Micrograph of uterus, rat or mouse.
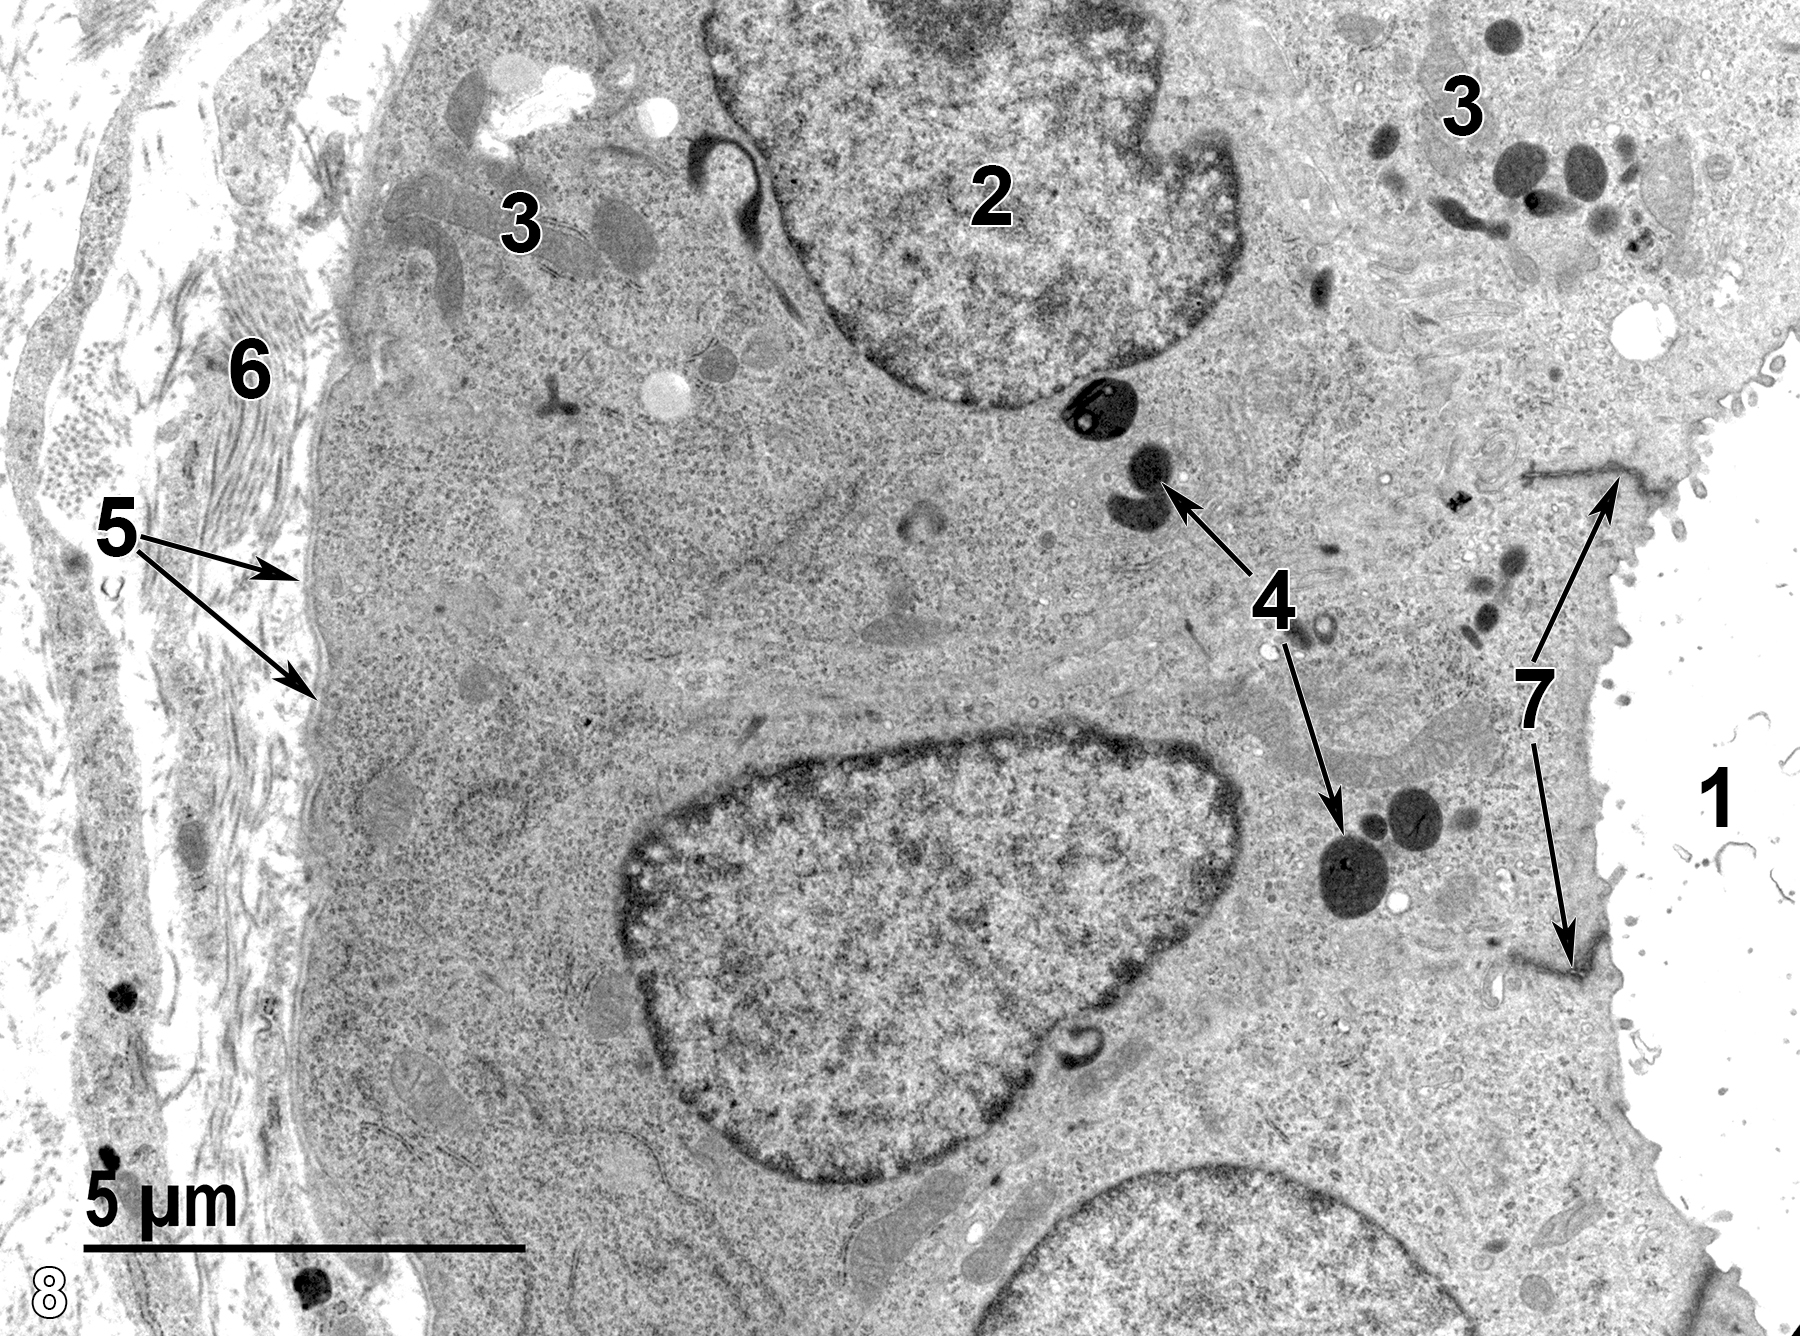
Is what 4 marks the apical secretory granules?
Yes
